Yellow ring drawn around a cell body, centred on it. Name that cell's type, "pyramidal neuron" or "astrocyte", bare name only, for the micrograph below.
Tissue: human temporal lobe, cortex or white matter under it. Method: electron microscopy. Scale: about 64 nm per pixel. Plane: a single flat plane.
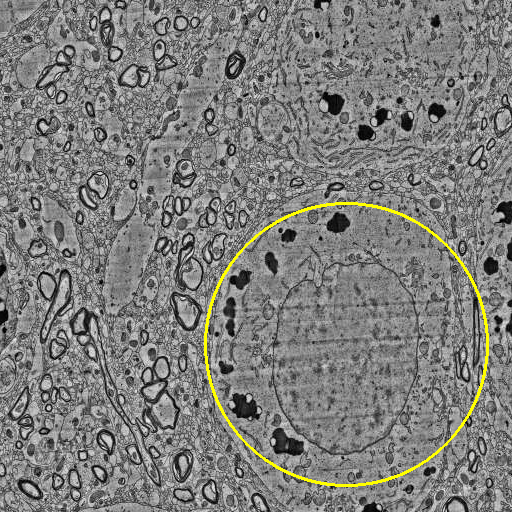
pyramidal neuron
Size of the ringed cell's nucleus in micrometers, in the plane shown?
In this plane the nucleus measures roughly 13 by 9 micrometres.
